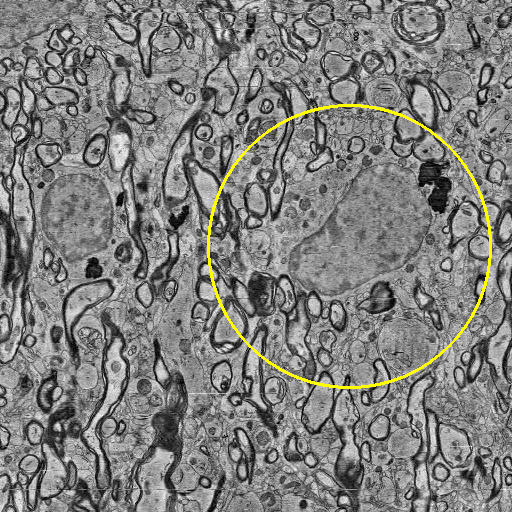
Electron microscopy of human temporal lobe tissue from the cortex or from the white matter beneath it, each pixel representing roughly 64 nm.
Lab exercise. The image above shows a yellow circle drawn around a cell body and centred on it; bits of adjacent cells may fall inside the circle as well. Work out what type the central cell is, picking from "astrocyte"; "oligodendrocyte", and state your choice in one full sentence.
In the image above, the cell at the centre of the yellow circle is an oligodendrocyte.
